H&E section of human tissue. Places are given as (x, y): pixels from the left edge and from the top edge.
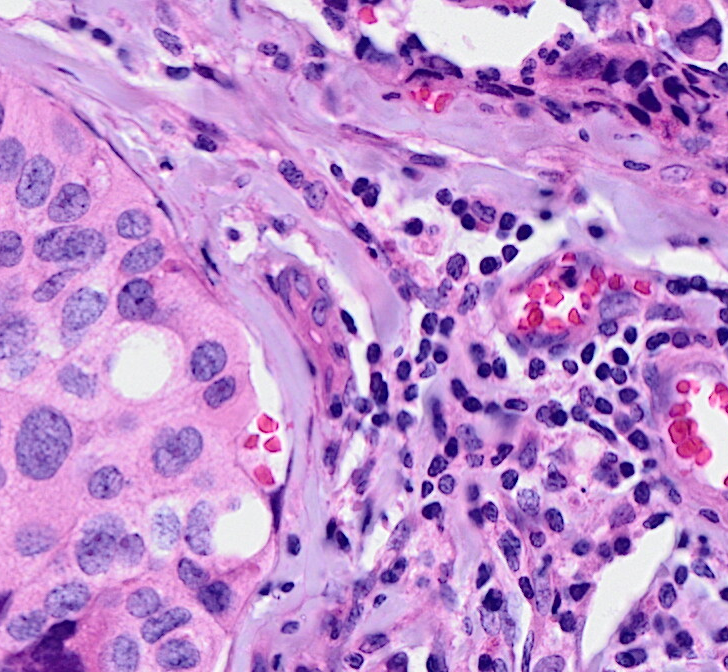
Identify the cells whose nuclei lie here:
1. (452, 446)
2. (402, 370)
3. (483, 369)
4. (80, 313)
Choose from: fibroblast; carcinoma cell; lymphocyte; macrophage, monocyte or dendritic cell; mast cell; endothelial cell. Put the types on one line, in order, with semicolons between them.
lymphocyte; lymphocyte; lymphocyte; carcinoma cell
